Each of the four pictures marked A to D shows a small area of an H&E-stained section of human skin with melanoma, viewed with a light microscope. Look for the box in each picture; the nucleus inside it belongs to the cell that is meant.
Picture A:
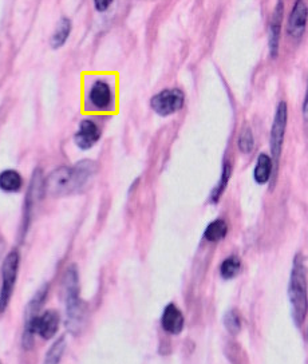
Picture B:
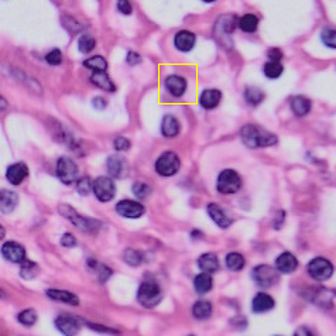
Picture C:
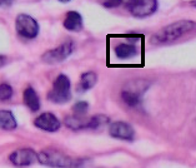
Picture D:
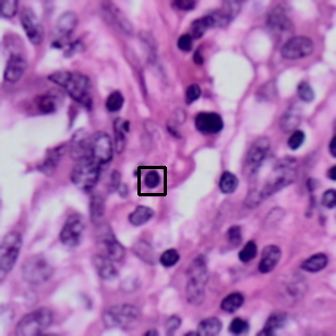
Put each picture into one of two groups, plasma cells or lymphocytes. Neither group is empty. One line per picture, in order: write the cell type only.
plasma cell
lymphocyte
lymphocyte
lymphocyte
